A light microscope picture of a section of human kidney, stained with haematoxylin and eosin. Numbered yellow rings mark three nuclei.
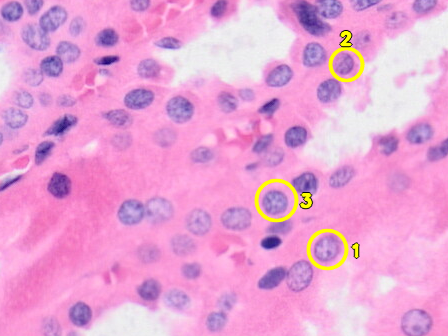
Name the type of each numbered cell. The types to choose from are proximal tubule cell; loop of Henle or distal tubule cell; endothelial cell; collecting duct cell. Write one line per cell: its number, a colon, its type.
1: proximal tubule cell
2: loop of Henle or distal tubule cell
3: loop of Henle or distal tubule cell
